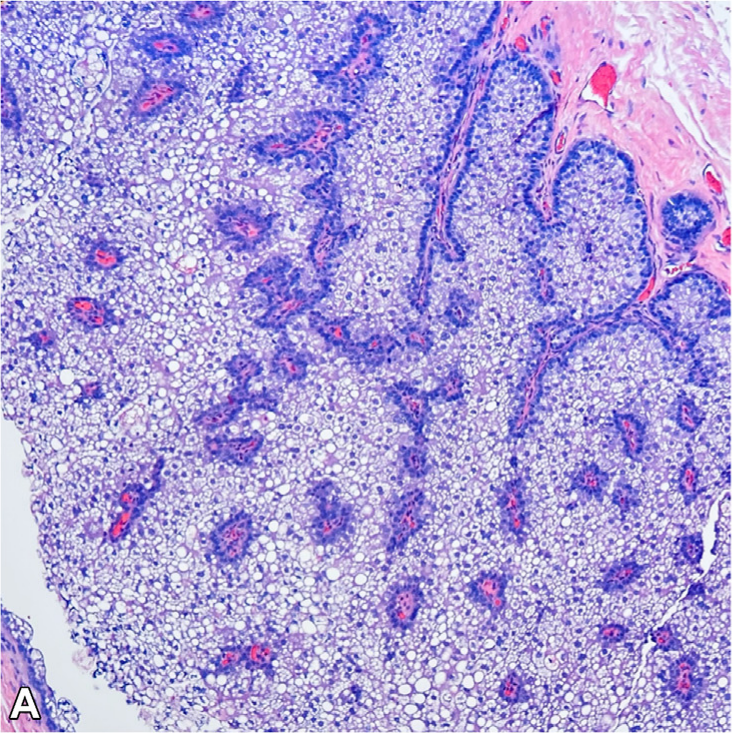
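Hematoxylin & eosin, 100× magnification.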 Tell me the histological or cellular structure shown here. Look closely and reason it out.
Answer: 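Dark blue rims of small crowded cells line the edges of pale lobules. Pale vacuolated cells fill the lobules centrally. Dark cell cuffs also surround small vessels within the lobules. So: peripheral germinative layer of small basaloid cells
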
